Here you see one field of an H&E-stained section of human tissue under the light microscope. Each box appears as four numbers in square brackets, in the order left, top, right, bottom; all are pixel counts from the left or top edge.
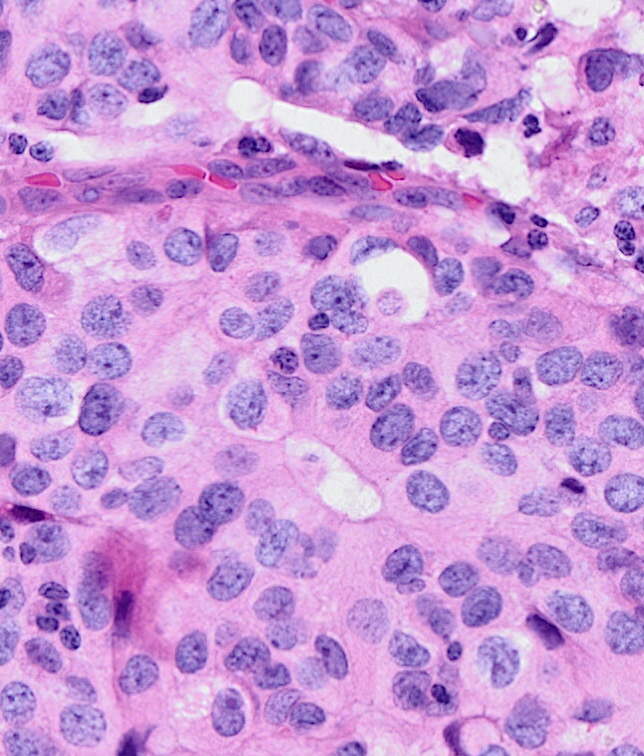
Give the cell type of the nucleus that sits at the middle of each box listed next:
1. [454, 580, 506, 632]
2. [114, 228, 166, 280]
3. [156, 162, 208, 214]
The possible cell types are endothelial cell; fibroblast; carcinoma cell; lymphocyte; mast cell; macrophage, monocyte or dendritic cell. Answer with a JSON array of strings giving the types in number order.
["carcinoma cell", "carcinoma cell", "endothelial cell"]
